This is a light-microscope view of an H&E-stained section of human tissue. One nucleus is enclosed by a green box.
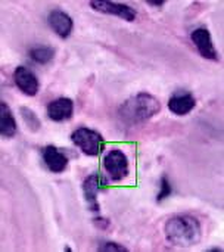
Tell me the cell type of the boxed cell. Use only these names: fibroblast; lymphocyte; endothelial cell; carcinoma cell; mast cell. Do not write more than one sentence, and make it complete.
Placed in its cell category, the boxed cell is a lymphocyte.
